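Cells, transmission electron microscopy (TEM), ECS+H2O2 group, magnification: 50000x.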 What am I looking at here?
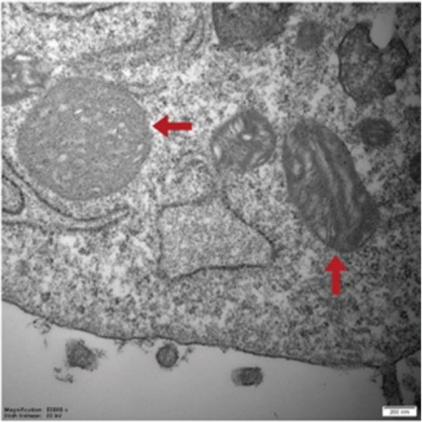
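This electron micrograph shows the cytoplasm of a cell near its surface membrane, with several mitochondria. Membrane-bound channels run between them, and small fragments of cell material lie outside the cell at the bottom.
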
